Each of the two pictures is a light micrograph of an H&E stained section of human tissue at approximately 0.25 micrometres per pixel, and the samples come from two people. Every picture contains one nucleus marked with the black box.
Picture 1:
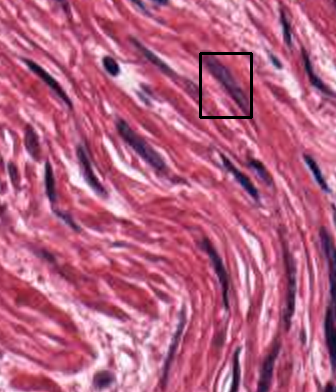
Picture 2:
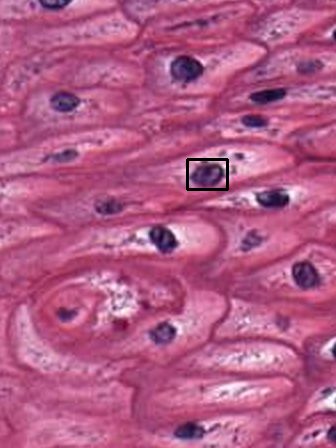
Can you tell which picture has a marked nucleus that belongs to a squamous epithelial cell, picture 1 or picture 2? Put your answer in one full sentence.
The marked nucleus in picture 2 comes from a squamous epithelial cell.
